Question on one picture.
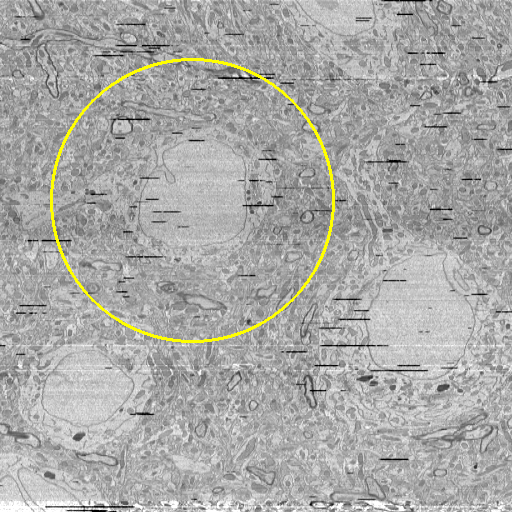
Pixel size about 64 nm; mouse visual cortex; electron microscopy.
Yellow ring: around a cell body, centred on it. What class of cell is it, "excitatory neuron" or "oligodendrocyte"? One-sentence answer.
This is an excitatory neuron, the cell the ring is centred on.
